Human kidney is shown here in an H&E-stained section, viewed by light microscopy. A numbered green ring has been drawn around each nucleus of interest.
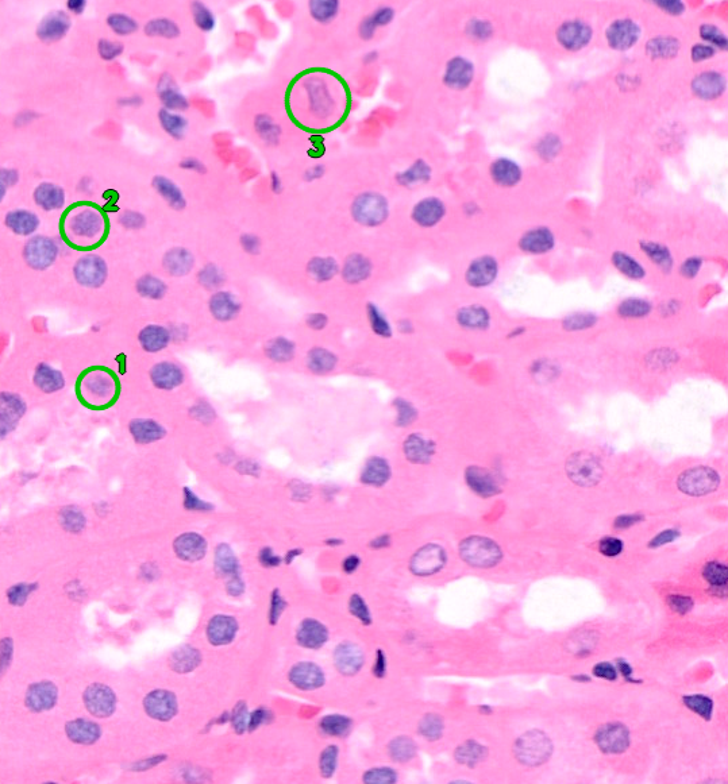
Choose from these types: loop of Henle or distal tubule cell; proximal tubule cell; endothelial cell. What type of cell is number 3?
proximal tubule cell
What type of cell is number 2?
loop of Henle or distal tubule cell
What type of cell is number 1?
loop of Henle or distal tubule cell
